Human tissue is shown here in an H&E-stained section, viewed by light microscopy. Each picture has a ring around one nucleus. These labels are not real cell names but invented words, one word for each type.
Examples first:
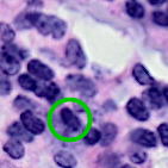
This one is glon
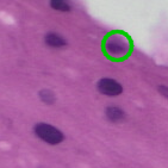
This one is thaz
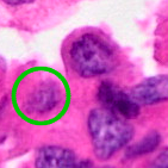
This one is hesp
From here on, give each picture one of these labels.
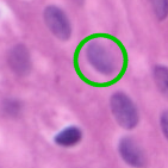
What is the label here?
thaz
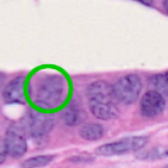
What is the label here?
hesp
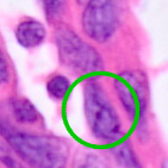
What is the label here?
hesp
